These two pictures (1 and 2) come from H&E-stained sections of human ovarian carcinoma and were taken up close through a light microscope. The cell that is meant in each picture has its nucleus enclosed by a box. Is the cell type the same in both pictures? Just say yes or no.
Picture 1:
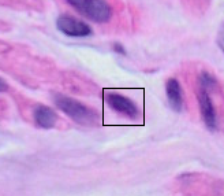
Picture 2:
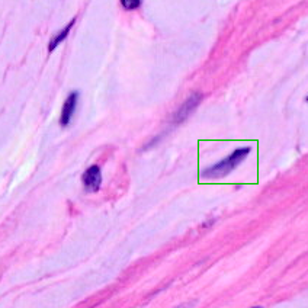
no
